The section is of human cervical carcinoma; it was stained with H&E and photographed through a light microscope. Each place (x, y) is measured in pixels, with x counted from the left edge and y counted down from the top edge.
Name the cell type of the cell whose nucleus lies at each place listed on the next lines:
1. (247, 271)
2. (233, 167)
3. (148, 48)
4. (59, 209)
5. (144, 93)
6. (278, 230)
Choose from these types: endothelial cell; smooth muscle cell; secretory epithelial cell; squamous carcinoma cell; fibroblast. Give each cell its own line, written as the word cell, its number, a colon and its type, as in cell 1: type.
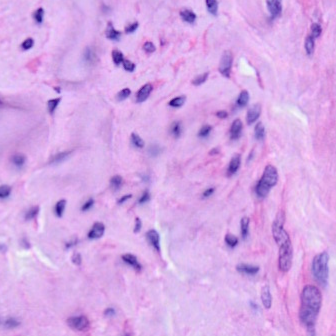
cell 1: fibroblast
cell 2: smooth muscle cell
cell 3: smooth muscle cell
cell 4: fibroblast
cell 5: smooth muscle cell
cell 6: smooth muscle cell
